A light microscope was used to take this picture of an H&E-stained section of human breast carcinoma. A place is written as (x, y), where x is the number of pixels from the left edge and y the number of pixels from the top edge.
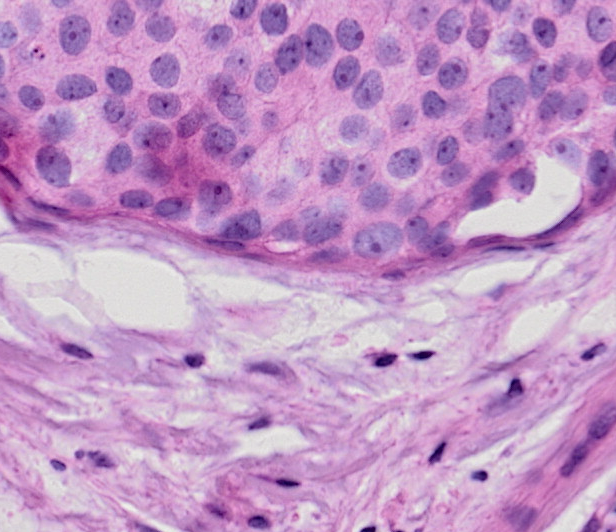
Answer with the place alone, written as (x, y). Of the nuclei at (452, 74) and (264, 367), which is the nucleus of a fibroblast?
(264, 367)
